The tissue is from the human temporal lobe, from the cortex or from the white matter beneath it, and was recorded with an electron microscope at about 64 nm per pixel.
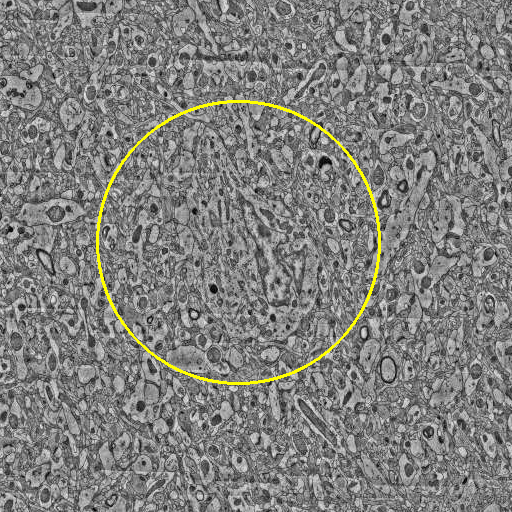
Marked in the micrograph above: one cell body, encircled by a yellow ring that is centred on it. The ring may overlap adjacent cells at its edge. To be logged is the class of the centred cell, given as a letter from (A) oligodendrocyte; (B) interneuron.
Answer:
B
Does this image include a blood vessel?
No, no blood vessel shows in the picture.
